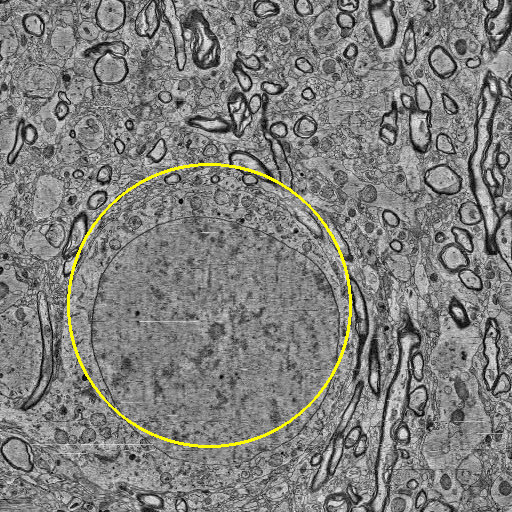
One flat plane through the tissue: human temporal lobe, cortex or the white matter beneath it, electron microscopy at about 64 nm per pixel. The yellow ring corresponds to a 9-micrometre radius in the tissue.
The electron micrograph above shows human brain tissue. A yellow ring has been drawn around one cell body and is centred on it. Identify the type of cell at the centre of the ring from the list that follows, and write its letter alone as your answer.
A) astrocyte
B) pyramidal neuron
B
